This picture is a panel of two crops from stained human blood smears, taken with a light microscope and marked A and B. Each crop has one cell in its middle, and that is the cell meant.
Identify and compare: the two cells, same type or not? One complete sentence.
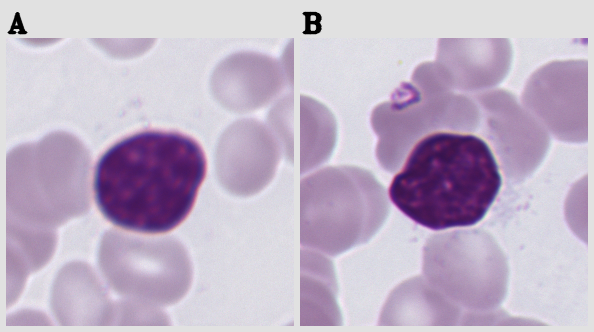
Yes, the cells that both crops show at the centre are smudge cells.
